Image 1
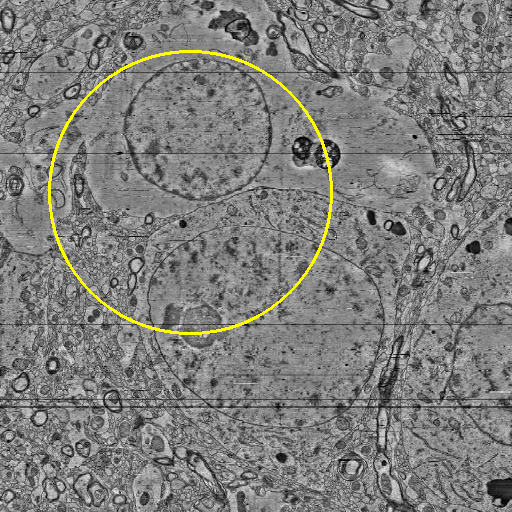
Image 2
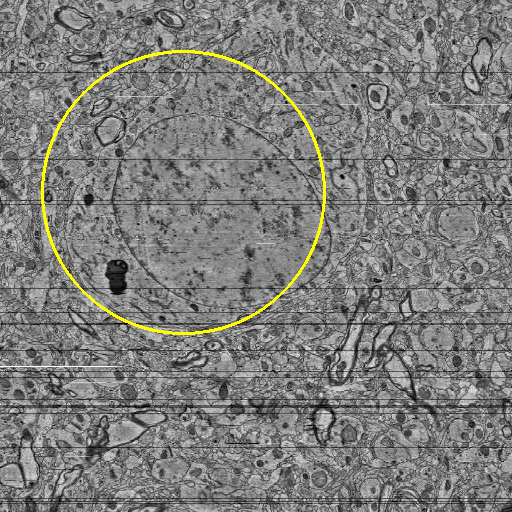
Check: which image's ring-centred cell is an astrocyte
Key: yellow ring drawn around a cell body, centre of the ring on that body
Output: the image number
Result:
1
